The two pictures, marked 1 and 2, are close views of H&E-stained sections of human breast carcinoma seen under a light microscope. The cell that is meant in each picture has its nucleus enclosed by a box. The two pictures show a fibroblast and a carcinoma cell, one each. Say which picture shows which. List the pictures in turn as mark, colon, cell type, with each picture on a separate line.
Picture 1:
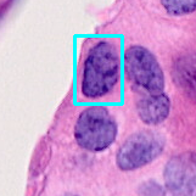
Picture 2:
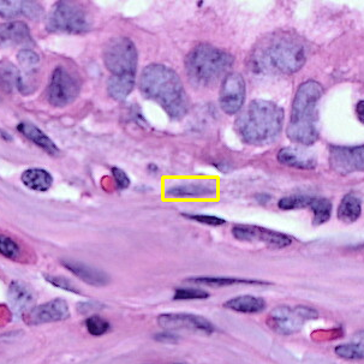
1: carcinoma cell
2: fibroblast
